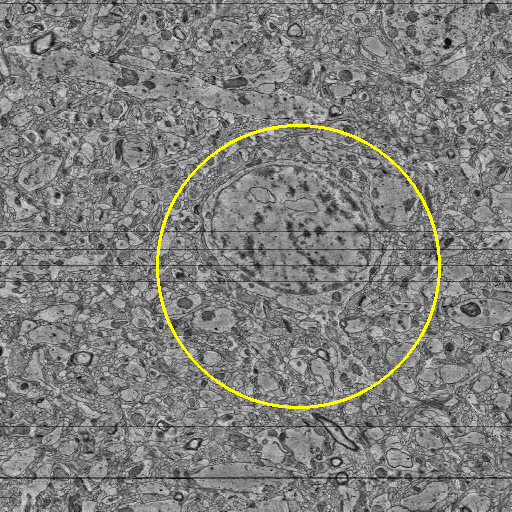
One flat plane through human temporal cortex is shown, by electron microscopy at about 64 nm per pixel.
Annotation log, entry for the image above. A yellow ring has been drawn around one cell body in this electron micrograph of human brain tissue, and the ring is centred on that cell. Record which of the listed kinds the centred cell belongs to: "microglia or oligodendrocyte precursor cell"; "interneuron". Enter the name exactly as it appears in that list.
interneuron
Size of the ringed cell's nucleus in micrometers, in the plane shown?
About 11 micrometres by about 8 micrometres in this plane.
